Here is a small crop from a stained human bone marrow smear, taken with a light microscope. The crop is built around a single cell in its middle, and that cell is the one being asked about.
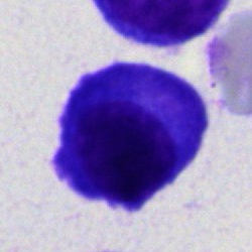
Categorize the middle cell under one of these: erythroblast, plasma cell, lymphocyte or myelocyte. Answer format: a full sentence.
The centrally positioned cell in the crop represents a plasma cell.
